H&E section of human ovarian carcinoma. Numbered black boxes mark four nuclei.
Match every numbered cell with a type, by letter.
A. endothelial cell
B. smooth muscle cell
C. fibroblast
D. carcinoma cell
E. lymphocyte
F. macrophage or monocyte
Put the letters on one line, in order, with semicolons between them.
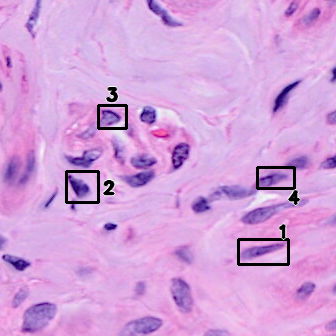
B; C; A; B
